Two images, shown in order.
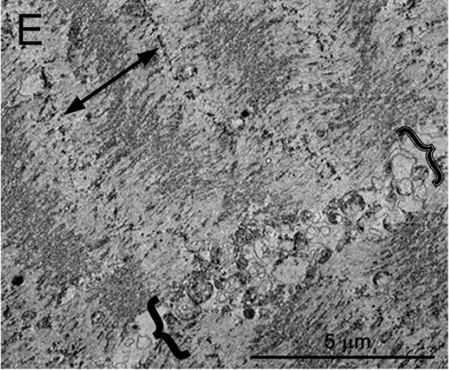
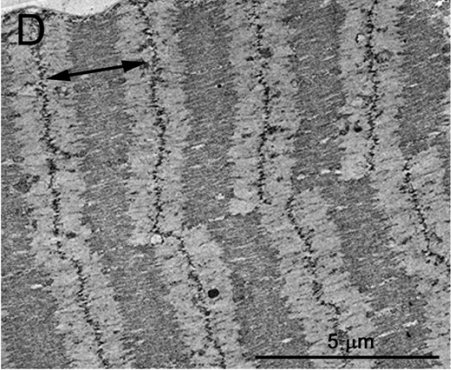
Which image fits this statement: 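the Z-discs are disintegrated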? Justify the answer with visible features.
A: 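Second image: dark continuous wavy Z-lines cross the fibre at regular intervals. First image: transverse dark lines are faint, broken and hard to follow. The answer: the first image.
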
